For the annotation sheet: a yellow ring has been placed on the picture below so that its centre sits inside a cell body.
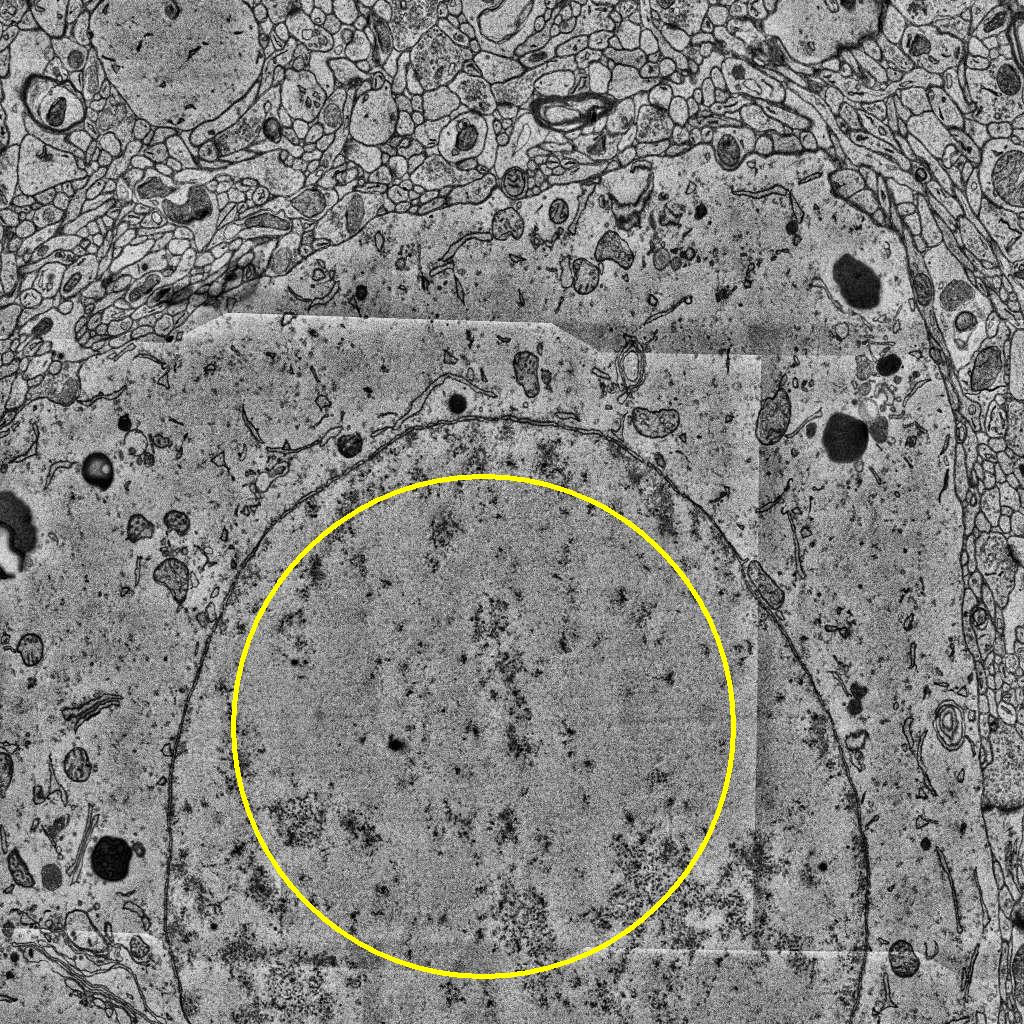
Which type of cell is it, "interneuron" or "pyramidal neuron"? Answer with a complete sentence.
The cell at the ring's centre is a pyramidal neuron.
